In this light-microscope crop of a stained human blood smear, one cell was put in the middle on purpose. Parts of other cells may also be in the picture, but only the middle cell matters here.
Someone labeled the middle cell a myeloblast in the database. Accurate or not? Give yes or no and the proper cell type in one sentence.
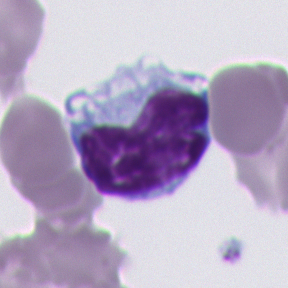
No, the cell at the centre is categorised not as a myeloblast but as a monocyte.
